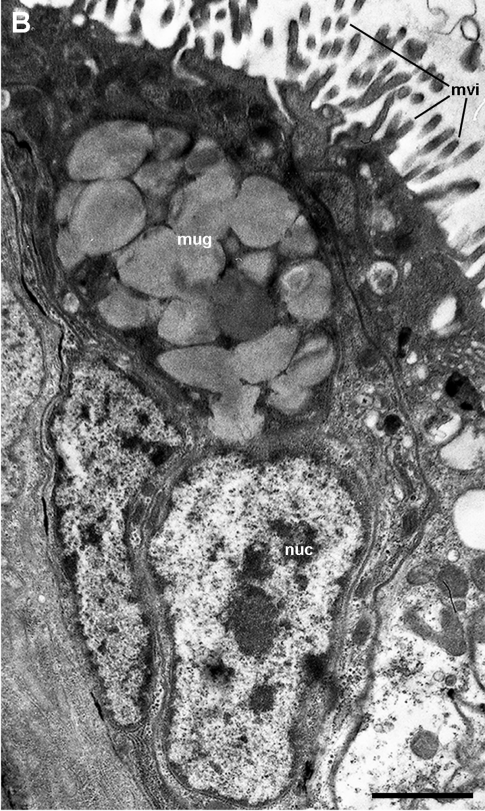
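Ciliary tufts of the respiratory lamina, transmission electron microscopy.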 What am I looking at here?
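A secretory granule cell among columnar epithelial cells, its apical cytoplasm filled with large, rounded, closely packed granules of moderate density. Below the granules lies an oval nucleus with dispersed chromatin and a prominent dense nucleolus; microvilli project from neighbouring cells at the surface.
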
